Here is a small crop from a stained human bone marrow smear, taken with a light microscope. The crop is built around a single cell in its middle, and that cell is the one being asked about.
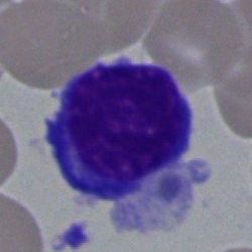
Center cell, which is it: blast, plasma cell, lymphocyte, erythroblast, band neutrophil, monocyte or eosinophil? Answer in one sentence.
Standing at the centre of this crop is a plasma cell.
